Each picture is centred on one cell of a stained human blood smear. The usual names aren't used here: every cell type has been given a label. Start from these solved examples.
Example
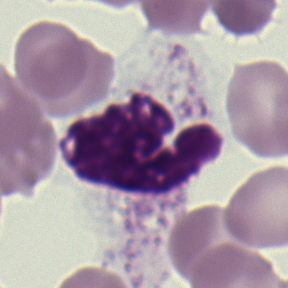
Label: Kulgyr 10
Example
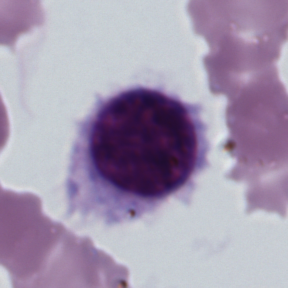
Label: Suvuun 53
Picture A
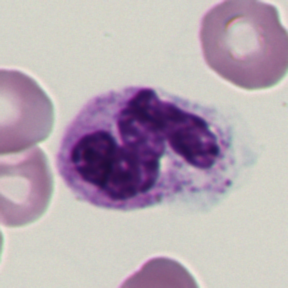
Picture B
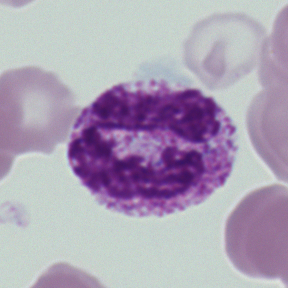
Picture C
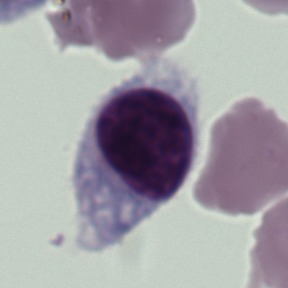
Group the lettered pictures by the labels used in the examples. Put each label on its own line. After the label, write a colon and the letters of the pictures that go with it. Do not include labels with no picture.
Kulgyr 10: A, B
Suvuun 53: C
